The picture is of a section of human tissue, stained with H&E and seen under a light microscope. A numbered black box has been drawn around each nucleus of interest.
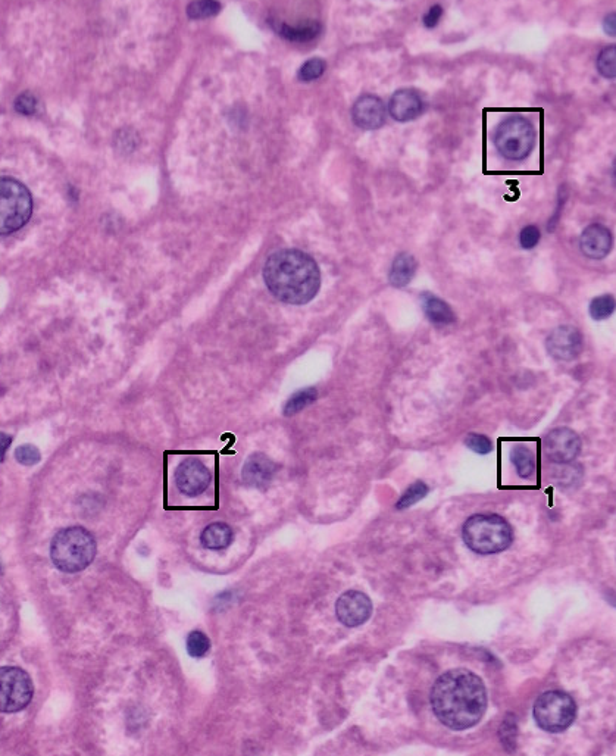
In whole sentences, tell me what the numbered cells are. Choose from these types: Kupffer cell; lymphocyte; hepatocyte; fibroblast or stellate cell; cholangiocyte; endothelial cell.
Cell 1 is a Kupffer cell. Cells 2 and 3 are hepatocytes.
